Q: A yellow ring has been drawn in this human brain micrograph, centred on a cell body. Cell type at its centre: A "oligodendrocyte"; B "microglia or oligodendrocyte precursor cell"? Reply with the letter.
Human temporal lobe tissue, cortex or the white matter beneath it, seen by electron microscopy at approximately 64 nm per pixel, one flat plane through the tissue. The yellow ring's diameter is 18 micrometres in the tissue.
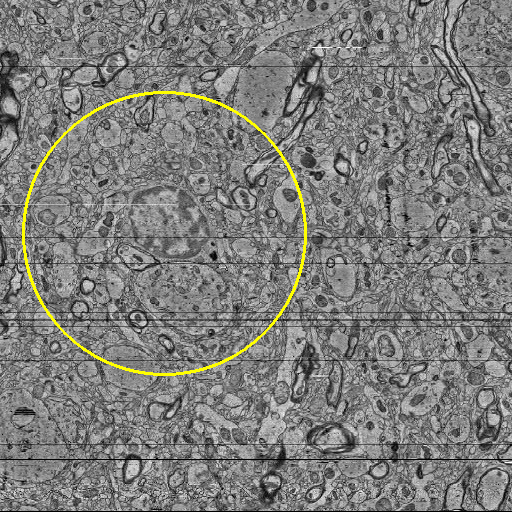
A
